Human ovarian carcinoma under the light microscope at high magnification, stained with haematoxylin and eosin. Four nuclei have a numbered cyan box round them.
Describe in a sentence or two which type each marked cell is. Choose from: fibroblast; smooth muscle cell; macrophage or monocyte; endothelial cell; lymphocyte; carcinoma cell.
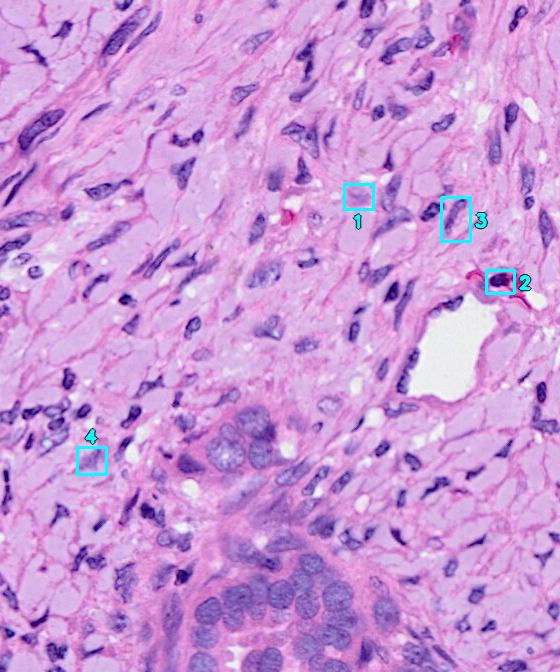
Cells 1, 3 and 4 are fibroblasts. Cell 2 is a lymphocyte.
